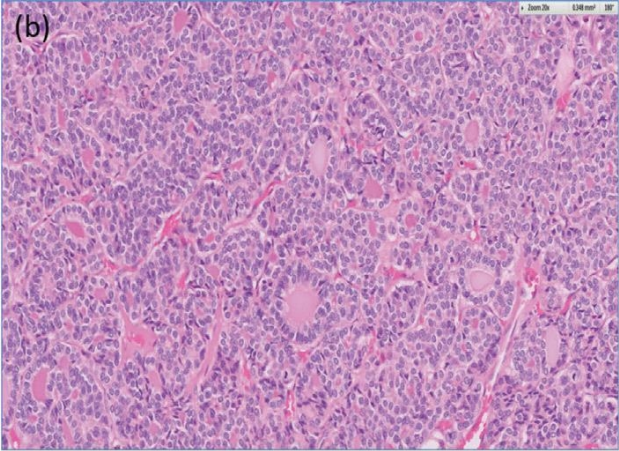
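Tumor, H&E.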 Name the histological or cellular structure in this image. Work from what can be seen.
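Crowded cells form many small round follicles. Some small follicles contain pink colloid. Follicles are much smaller than normal thyroid follicles.
Hence: microfollicles.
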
